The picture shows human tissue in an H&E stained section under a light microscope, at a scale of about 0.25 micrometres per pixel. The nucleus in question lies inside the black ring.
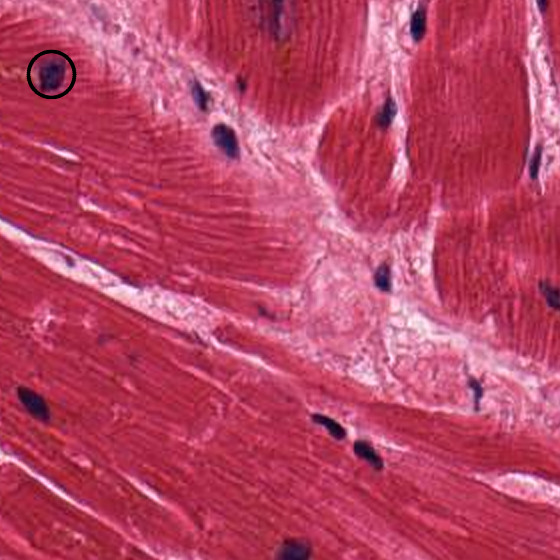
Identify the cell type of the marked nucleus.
cardiomyocyte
